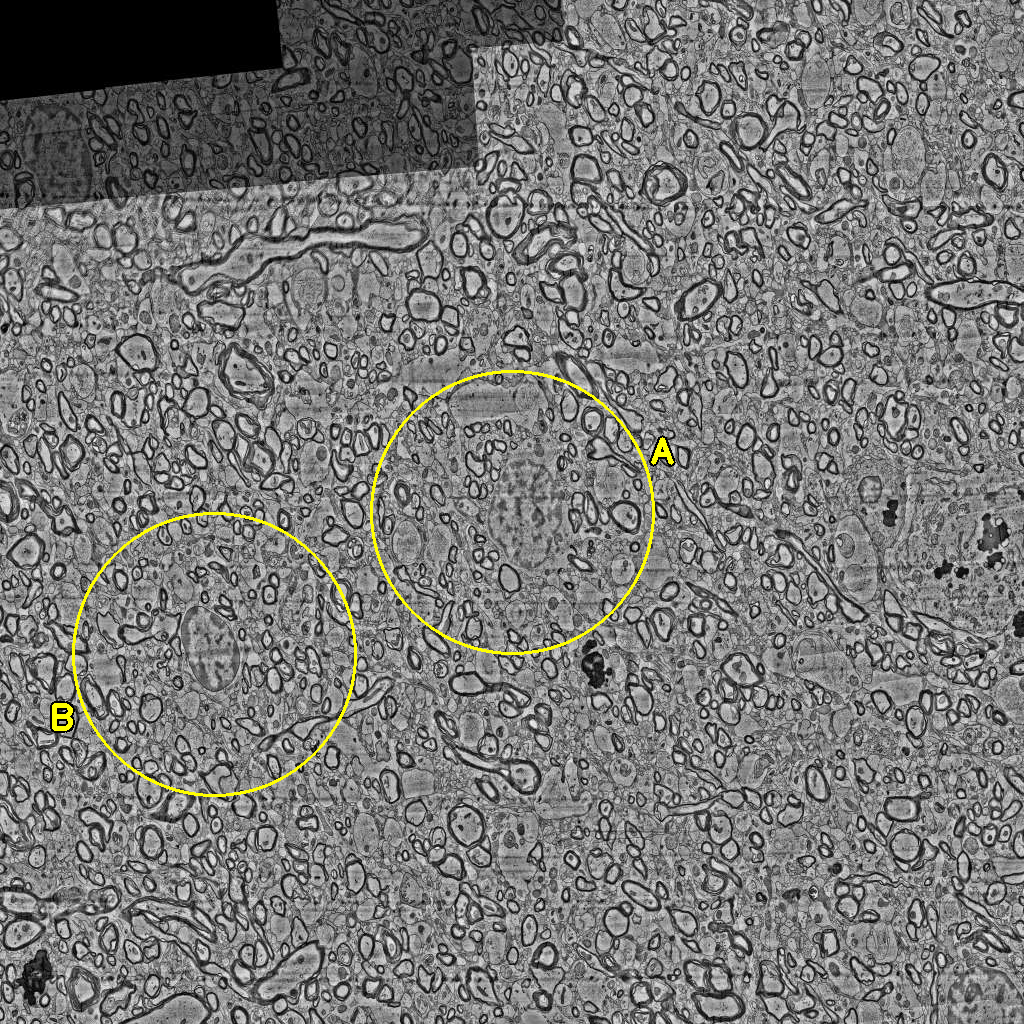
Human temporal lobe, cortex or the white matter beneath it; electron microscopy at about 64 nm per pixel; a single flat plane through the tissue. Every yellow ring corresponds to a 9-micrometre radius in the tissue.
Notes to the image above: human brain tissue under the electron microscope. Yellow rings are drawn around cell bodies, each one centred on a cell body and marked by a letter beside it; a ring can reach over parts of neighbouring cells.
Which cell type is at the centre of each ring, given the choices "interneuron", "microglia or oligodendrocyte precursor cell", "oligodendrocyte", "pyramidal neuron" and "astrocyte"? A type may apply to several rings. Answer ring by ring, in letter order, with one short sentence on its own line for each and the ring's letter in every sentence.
Inside ring A, at its centre, is an oligodendrocyte.
Inside ring B, at its centre, is a microglial cell or oligodendrocyte precursor cell.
